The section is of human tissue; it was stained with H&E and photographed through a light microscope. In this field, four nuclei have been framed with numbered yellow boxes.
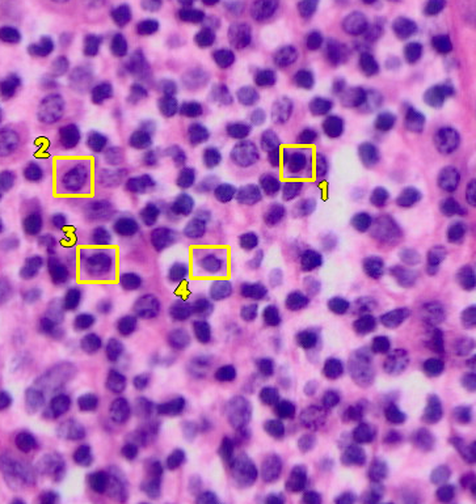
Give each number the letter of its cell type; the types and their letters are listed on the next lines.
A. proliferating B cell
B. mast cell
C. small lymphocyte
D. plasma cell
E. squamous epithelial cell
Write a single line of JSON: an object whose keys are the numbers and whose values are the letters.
{"1": "C", "2": "D", "3": "D", "4": "D"}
